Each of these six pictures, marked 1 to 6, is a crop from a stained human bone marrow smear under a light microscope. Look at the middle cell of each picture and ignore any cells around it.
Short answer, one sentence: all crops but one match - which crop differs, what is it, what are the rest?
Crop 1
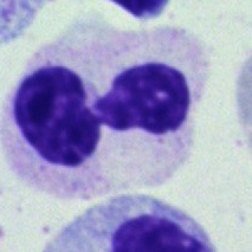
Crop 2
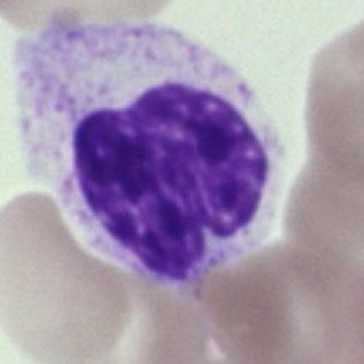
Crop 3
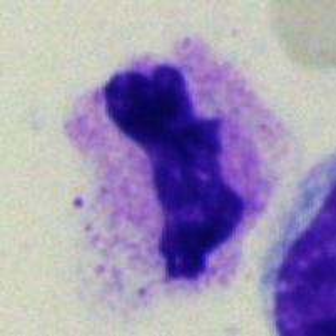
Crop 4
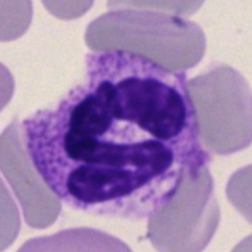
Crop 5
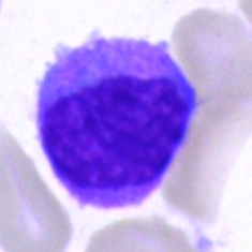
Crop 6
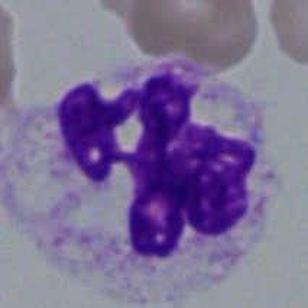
All crops show neutrophils except crop 5, which is a monocyte.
